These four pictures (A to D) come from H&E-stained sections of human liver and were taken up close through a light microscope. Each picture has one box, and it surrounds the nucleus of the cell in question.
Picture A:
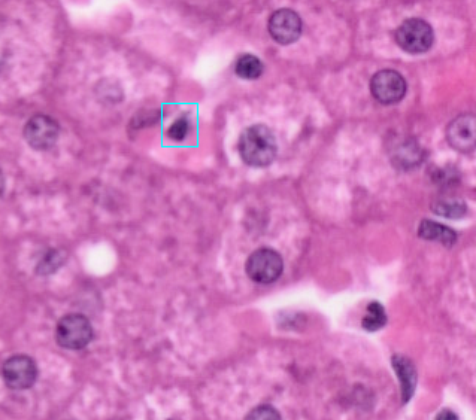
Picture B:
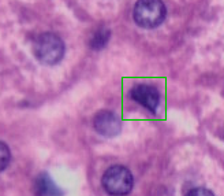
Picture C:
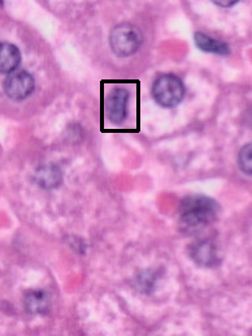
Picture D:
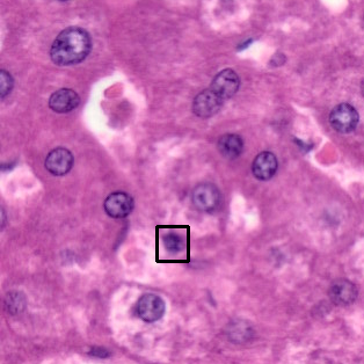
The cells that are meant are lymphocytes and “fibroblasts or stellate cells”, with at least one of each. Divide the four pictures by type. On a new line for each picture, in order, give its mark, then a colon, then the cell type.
A: lymphocyte
B: fibroblast or stellate cell
C: fibroblast or stellate cell
D: fibroblast or stellate cell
